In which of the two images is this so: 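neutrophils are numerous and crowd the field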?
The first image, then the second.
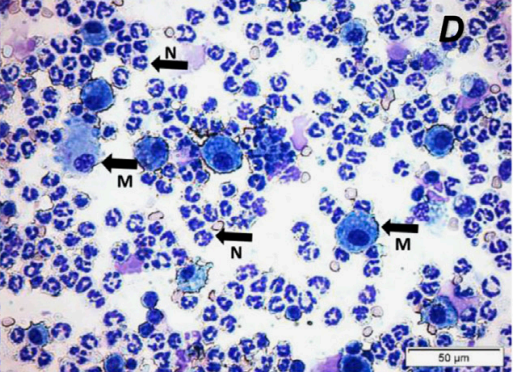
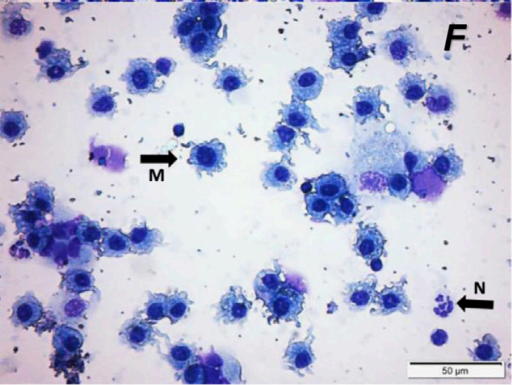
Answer: The first image.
